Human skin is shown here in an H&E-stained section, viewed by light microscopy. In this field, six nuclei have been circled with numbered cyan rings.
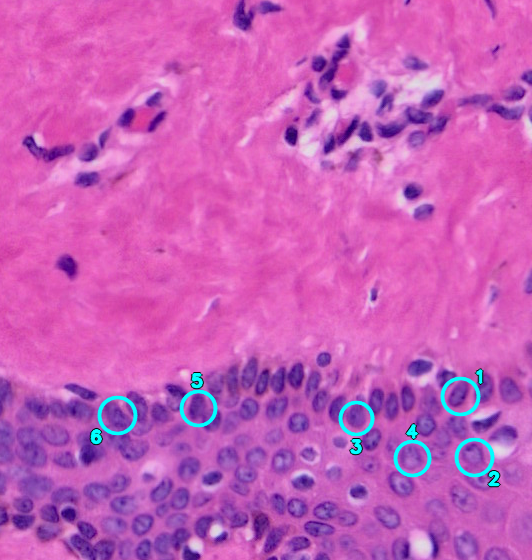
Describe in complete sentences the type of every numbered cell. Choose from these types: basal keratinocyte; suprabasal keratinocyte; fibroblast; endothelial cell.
Cell 1 is a basal keratinocyte, cell 2 is a suprabasal keratinocyte, cell 3 is a basal keratinocyte, cell 4 is a suprabasal keratinocyte, cell 5 is a basal keratinocyte and cell 6 is a basal keratinocyte.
